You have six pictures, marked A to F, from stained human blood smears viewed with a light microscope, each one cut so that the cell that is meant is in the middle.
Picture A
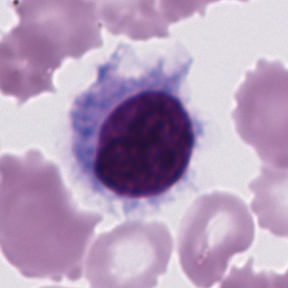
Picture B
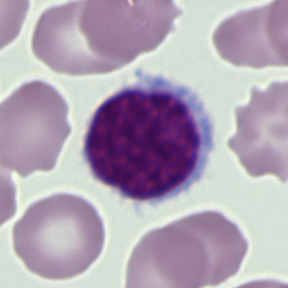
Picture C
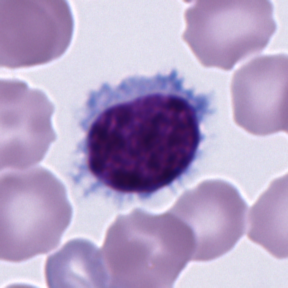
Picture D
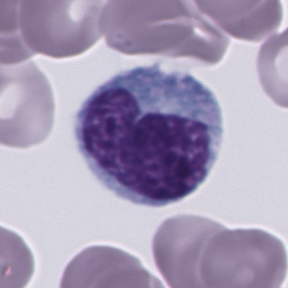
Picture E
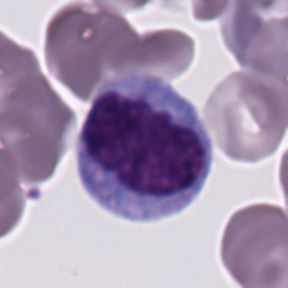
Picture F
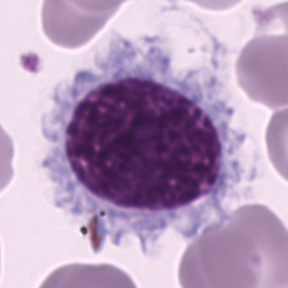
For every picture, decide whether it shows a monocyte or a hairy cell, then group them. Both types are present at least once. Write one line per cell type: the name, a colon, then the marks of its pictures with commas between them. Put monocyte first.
monocyte: D, E
hairy cell: A, B, C, F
